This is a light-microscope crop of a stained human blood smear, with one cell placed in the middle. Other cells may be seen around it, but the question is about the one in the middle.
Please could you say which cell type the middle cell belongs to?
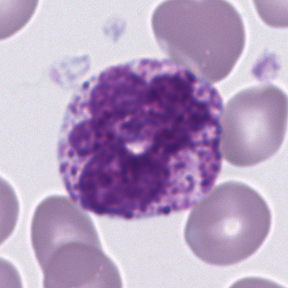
basophil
